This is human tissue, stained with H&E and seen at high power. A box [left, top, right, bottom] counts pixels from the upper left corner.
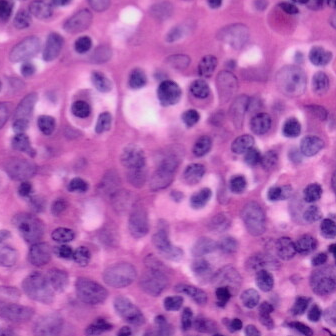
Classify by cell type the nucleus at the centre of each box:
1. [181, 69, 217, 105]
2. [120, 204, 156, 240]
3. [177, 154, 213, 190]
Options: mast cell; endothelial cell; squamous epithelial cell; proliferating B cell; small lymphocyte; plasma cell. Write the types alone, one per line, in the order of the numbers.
plasma cell
squamous epithelial cell
plasma cell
